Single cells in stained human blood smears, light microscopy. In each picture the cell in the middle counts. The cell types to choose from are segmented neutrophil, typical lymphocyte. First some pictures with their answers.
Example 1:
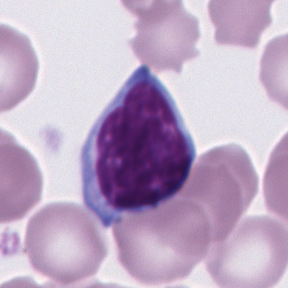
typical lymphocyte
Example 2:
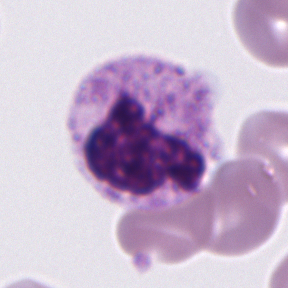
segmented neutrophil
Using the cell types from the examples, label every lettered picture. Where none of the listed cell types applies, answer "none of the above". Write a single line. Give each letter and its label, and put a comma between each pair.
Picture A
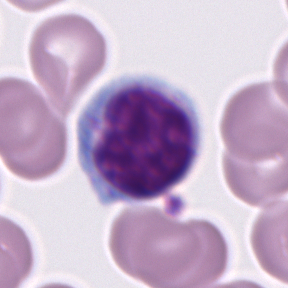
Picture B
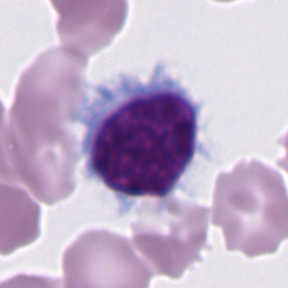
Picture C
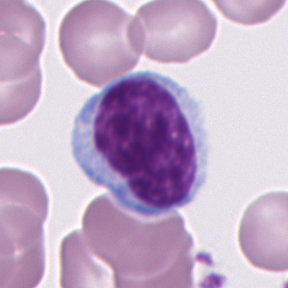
A typical lymphocyte, B none of the above, C typical lymphocyte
